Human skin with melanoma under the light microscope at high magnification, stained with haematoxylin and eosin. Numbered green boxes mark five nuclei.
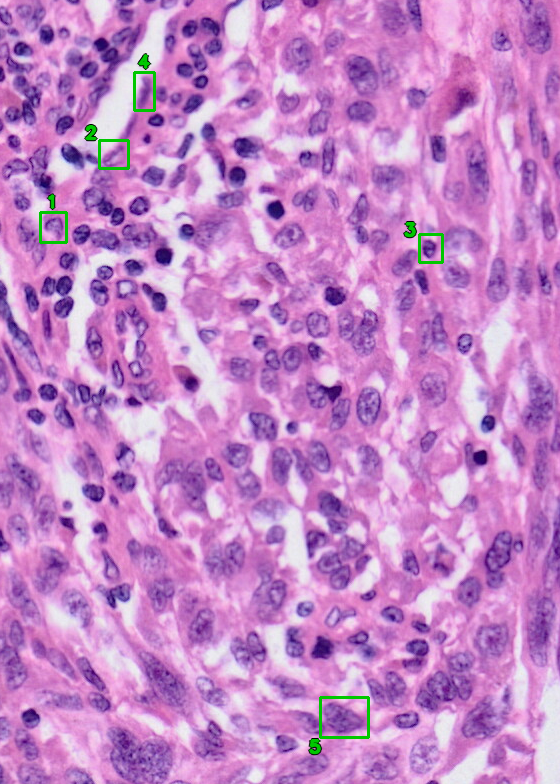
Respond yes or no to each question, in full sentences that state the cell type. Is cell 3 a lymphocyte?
Yes, the cell indicated by number 3 is a lymphocyte.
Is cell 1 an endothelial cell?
Yes, for number 1, the cell is an endothelial cell.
